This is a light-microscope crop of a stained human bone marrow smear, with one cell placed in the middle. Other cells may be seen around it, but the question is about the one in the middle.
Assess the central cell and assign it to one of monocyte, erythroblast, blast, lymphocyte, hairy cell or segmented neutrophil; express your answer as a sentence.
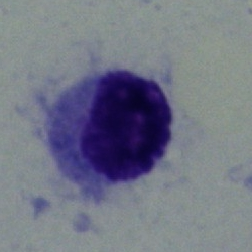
The cell in the middle of the field of view is a hairy cell.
